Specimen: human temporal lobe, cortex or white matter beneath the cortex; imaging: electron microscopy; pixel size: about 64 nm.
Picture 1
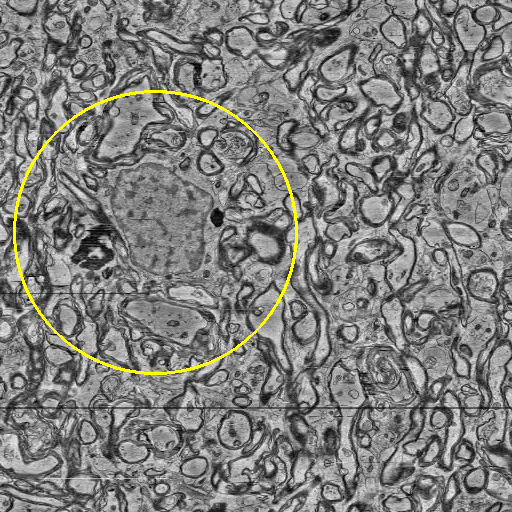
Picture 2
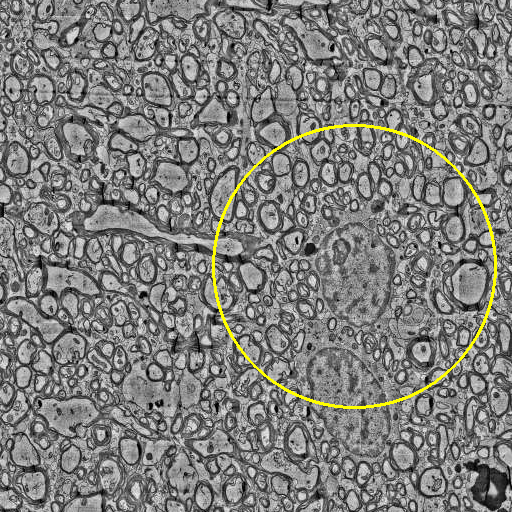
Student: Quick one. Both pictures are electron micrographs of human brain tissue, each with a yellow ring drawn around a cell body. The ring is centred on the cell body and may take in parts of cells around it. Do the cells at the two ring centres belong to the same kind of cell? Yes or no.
yes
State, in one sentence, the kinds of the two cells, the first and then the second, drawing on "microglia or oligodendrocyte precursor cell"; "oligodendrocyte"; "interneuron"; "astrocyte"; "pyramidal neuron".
In each picture the ringed cell is an oligodendrocyte.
